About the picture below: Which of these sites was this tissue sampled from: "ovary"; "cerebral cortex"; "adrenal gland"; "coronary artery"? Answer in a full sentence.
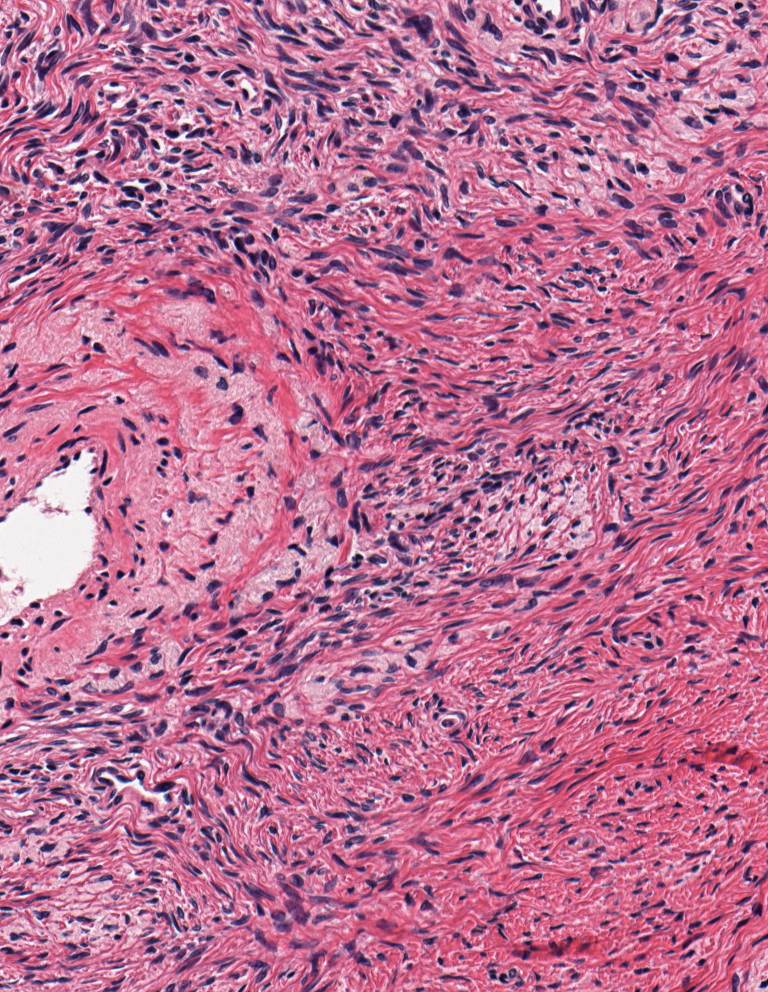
The site this tissue was sampled from is the ovary.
